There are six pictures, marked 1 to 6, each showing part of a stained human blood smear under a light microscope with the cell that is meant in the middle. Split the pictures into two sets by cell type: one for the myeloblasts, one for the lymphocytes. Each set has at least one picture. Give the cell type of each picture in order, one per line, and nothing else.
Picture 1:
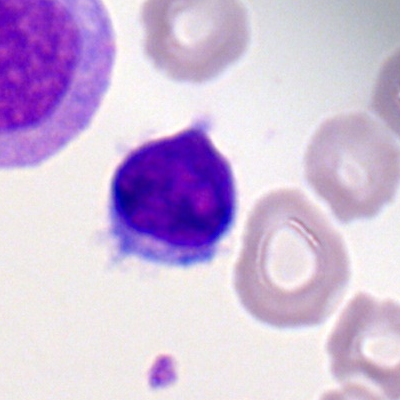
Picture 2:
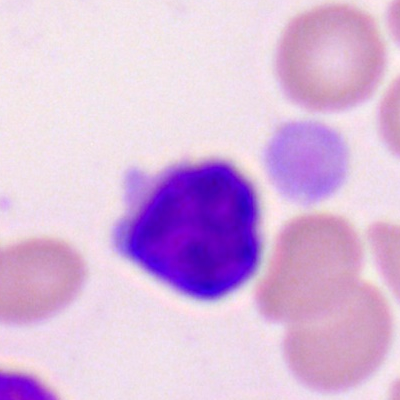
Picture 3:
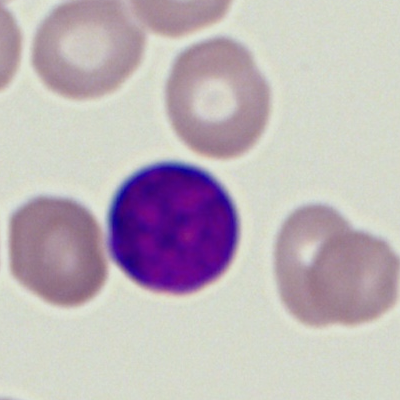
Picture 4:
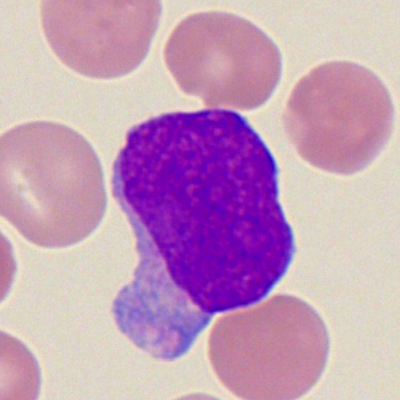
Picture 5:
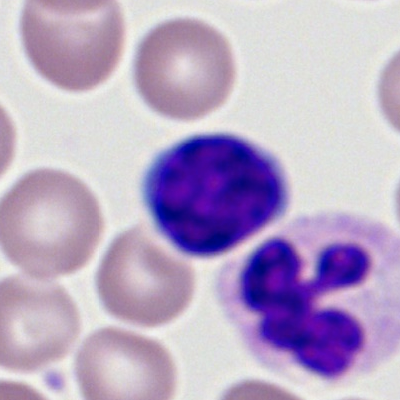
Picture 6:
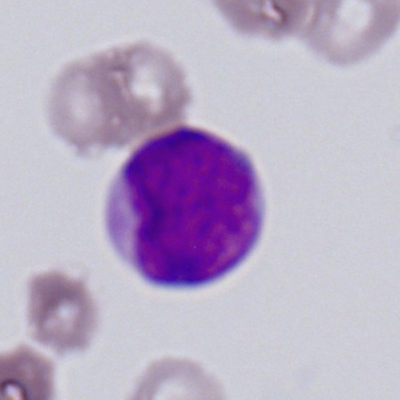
lymphocyte
lymphocyte
lymphocyte
myeloblast
lymphocyte
myeloblast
